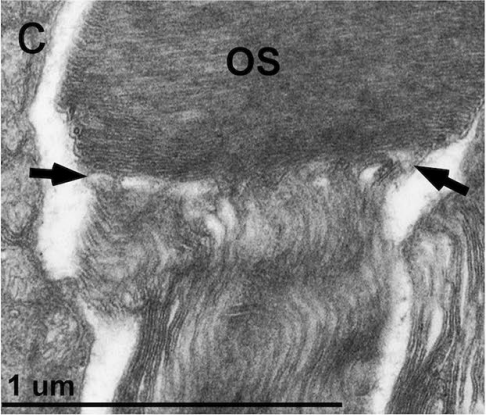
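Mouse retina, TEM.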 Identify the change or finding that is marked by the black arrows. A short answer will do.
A: The orientation of the discs changes.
